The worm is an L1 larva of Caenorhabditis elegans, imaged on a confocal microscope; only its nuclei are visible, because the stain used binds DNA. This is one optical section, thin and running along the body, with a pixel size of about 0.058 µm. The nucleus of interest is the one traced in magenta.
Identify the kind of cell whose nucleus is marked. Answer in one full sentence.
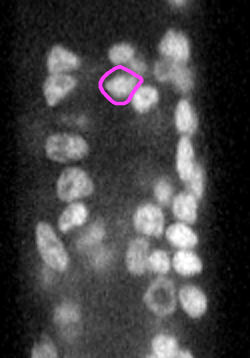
The nucleus comes from a pharyngeal muscle cell.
